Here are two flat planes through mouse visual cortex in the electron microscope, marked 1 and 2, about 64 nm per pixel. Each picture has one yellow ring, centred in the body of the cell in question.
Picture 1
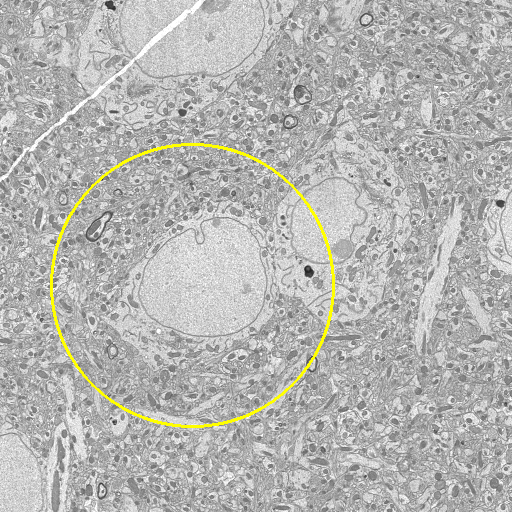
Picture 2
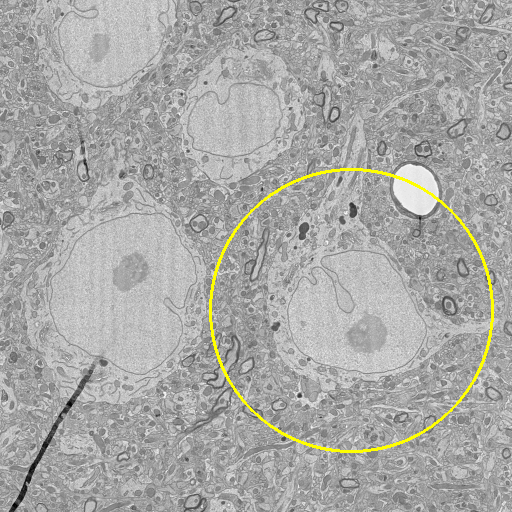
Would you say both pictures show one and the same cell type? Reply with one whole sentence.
Yes, both are excitatory neurons.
